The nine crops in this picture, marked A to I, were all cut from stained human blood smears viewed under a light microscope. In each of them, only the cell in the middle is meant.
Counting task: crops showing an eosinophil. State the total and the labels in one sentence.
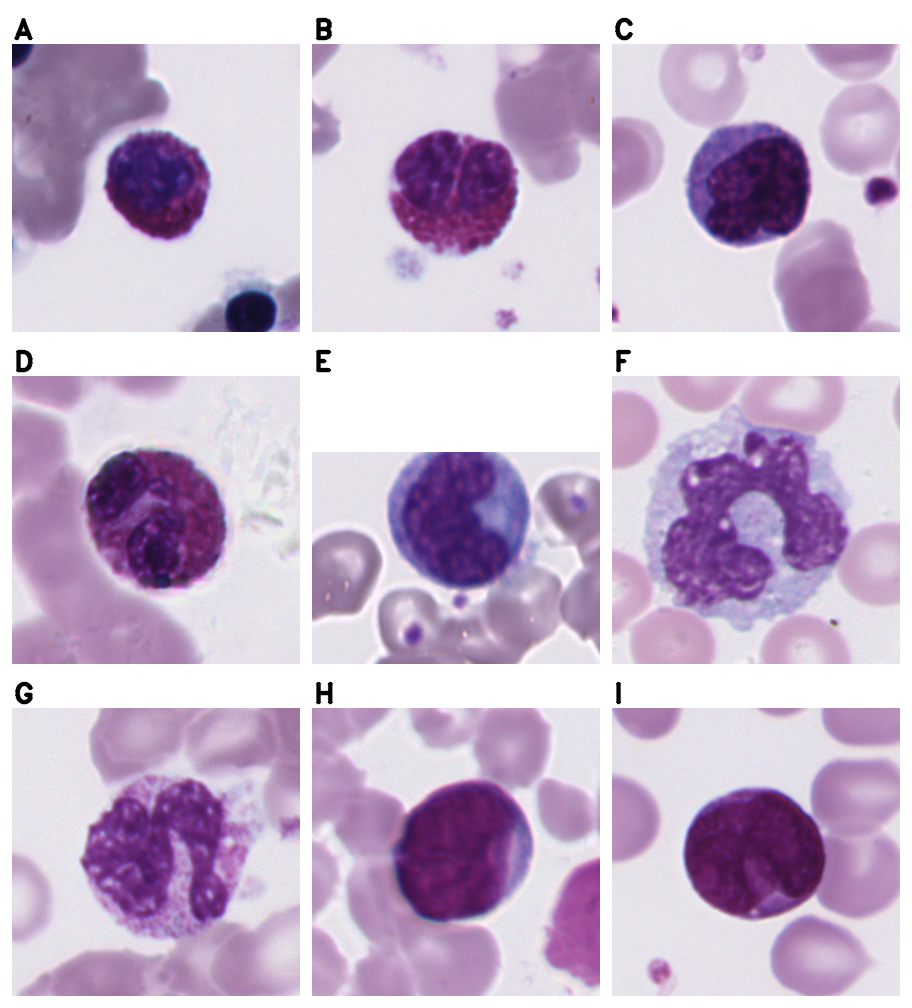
Crops showing eosinophils total three, and they are A, B and D.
